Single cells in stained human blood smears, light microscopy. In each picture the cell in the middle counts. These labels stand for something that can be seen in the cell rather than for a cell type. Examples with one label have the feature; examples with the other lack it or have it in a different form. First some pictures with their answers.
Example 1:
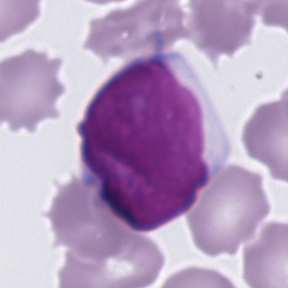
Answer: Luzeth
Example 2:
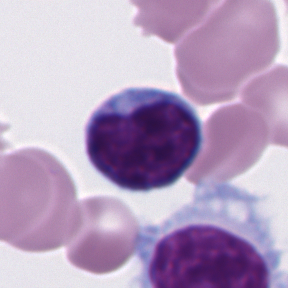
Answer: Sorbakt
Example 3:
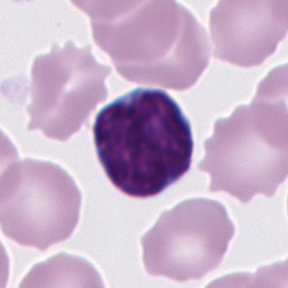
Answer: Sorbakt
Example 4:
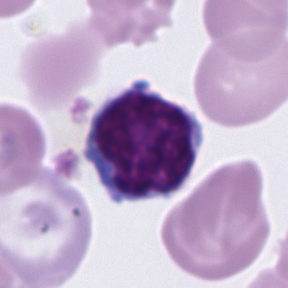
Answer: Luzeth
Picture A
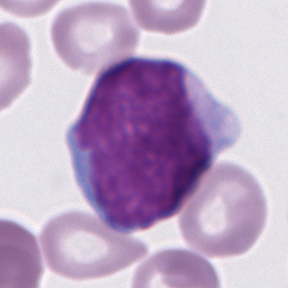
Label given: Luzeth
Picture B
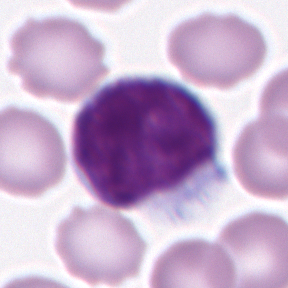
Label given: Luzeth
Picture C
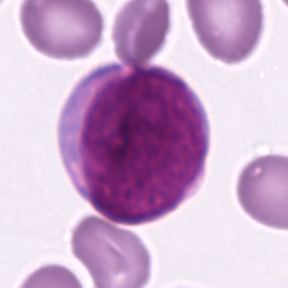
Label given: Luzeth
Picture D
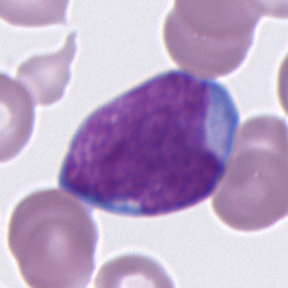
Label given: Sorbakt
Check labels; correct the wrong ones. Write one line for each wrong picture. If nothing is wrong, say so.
Wrong: C (Luzeth); correct: Sorbakt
